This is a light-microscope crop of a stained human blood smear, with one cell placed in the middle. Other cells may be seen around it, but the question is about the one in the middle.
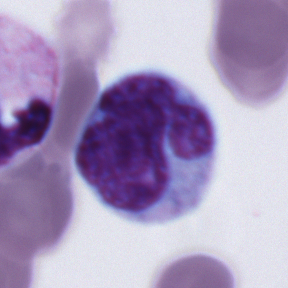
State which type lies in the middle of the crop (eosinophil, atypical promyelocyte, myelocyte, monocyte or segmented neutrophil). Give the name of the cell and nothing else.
monocyte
